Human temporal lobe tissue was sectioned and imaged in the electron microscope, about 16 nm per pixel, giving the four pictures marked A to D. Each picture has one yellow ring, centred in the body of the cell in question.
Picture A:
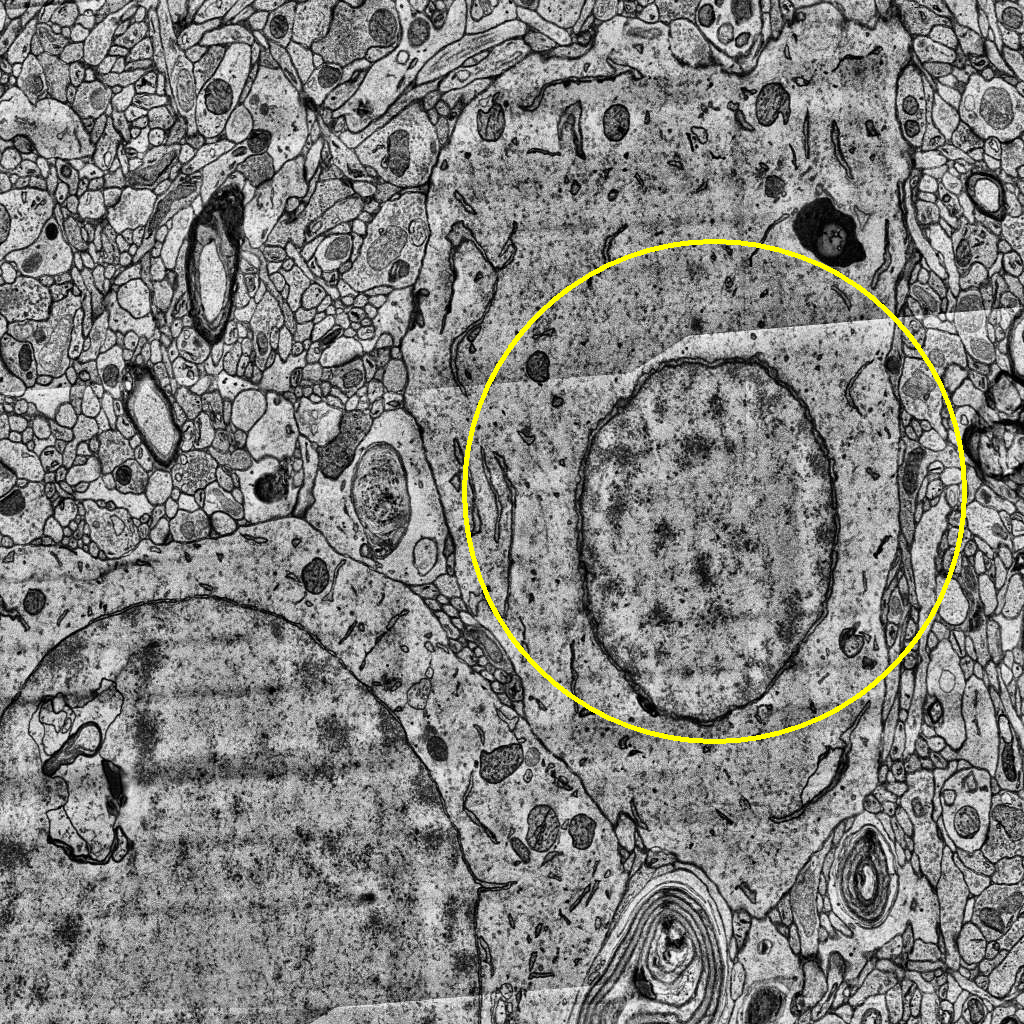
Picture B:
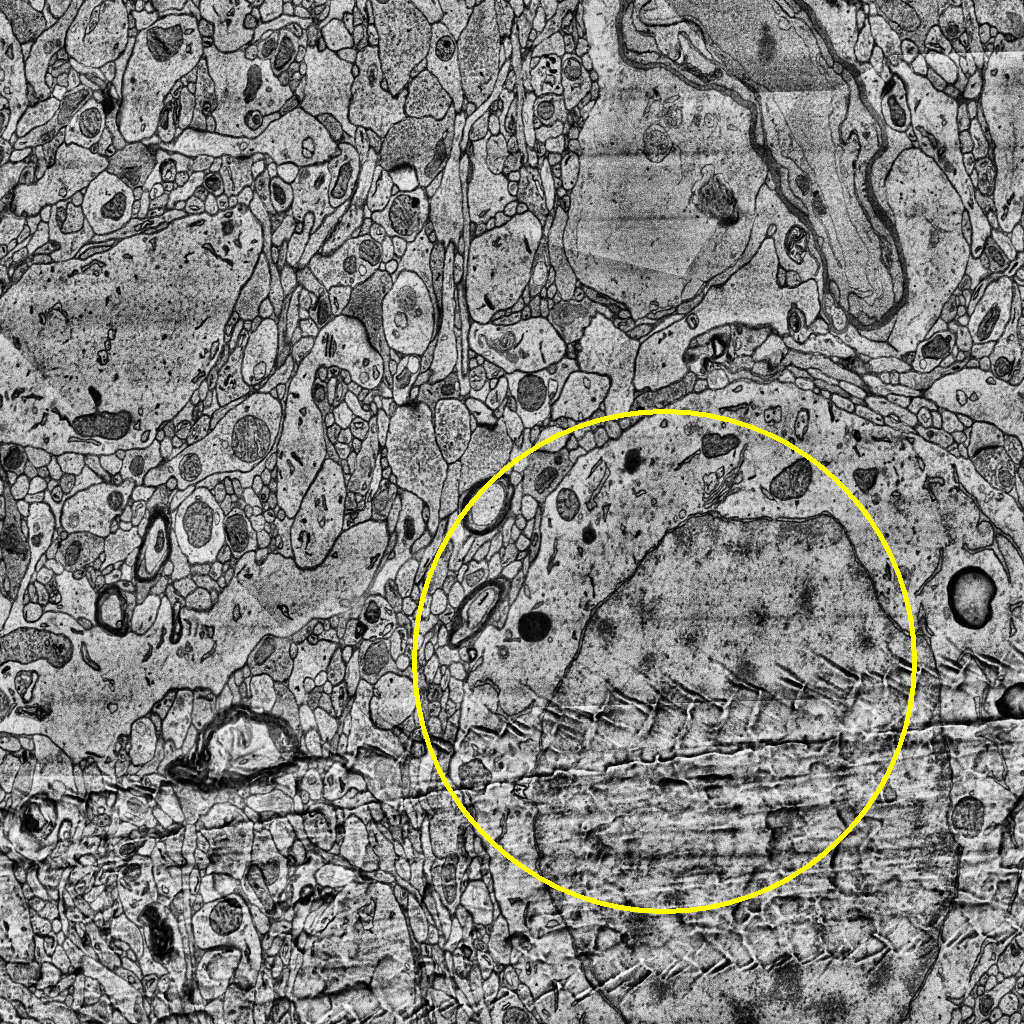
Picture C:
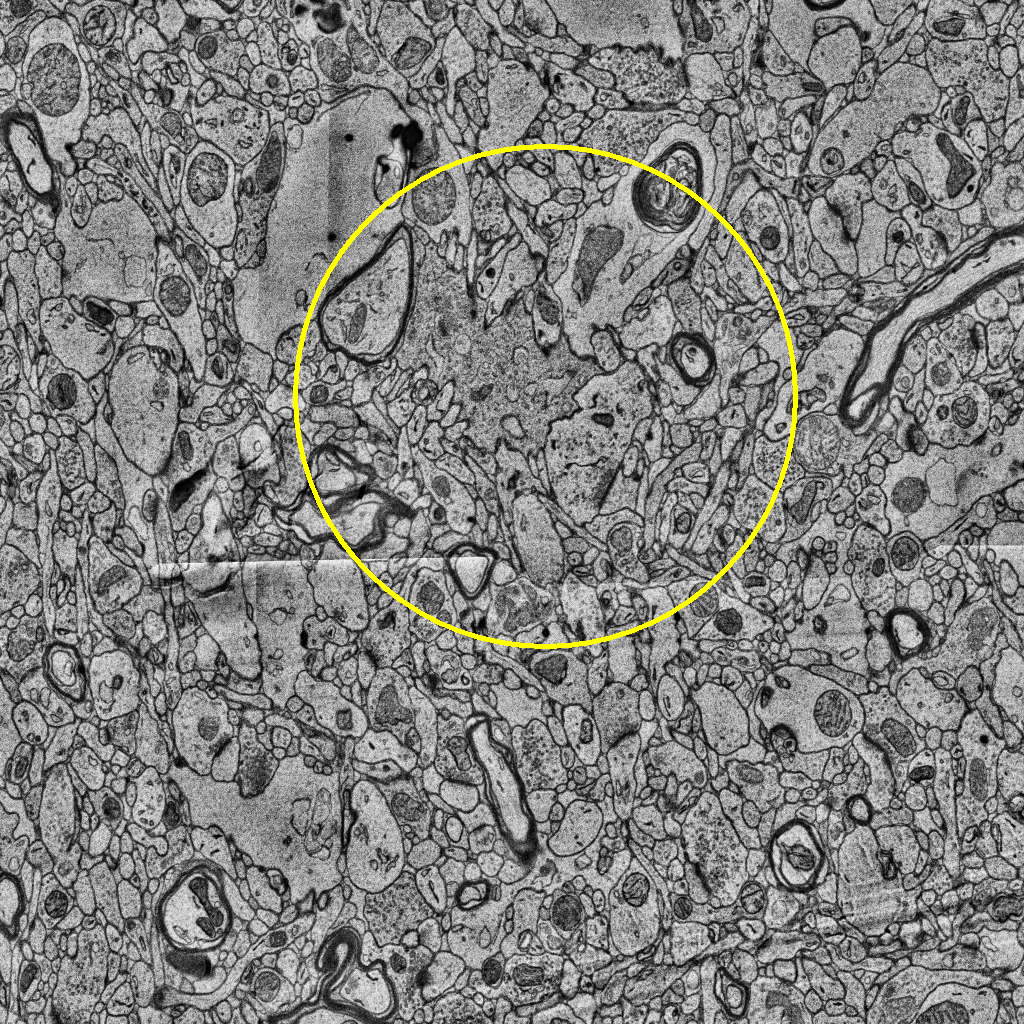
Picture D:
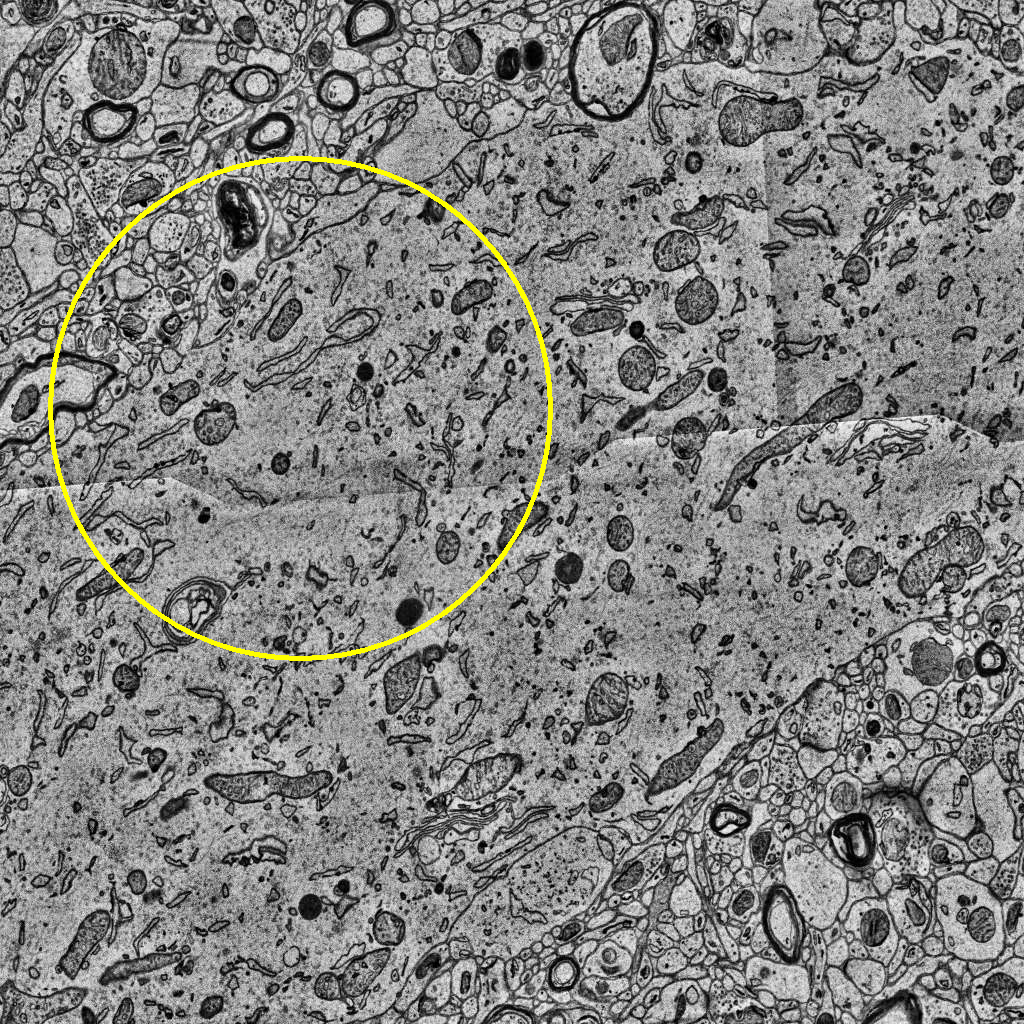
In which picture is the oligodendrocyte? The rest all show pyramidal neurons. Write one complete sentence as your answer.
It is picture C that shows the oligodendrocyte.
